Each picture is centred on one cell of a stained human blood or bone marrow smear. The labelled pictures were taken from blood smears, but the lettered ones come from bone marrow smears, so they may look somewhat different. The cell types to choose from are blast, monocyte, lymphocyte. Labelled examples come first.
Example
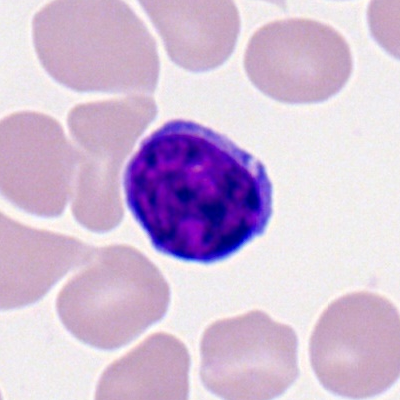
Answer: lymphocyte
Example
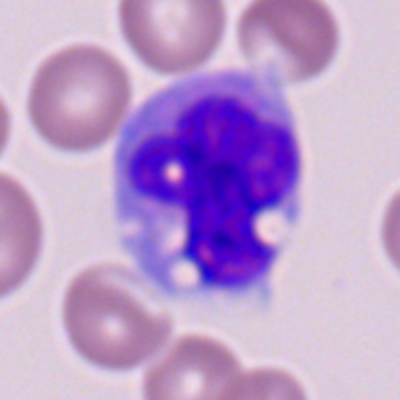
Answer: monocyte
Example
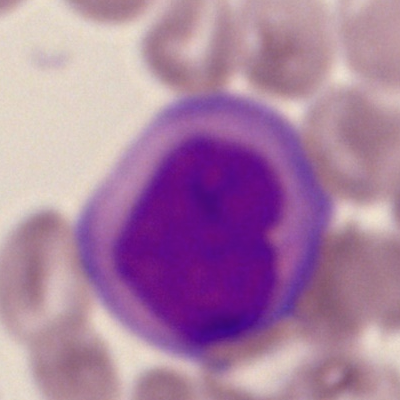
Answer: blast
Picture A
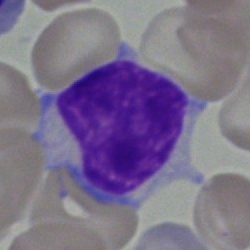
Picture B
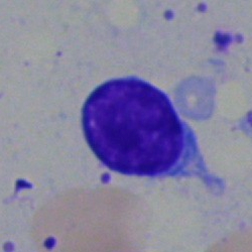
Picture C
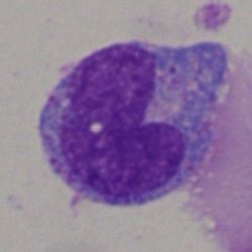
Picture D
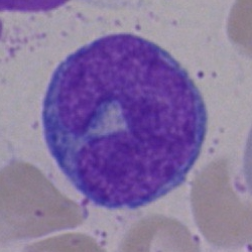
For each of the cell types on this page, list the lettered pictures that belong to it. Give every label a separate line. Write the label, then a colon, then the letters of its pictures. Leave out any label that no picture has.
monocyte: C, D
lymphocyte: A, B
